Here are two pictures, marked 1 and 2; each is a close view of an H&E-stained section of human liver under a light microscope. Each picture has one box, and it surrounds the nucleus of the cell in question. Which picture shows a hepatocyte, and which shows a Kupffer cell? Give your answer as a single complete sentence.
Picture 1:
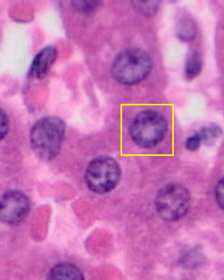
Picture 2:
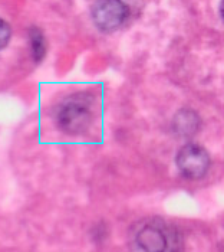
Picture 1 shows a hepatocyte and picture 2 shows a Kupffer cell.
